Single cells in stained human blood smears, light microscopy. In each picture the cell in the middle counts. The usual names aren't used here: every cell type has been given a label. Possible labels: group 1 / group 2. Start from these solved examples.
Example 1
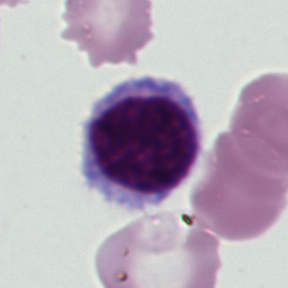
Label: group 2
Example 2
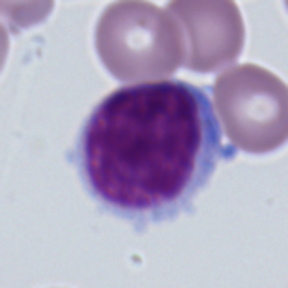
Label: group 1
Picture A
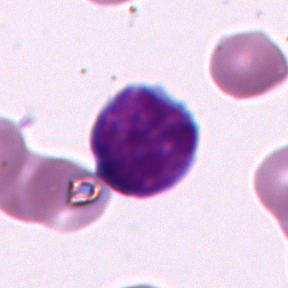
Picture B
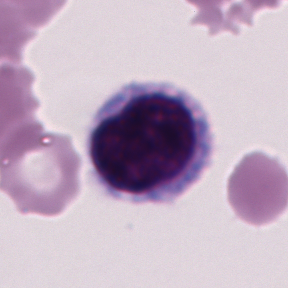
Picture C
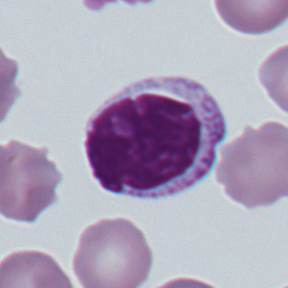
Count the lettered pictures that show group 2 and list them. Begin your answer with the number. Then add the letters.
Count: 1 (B)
